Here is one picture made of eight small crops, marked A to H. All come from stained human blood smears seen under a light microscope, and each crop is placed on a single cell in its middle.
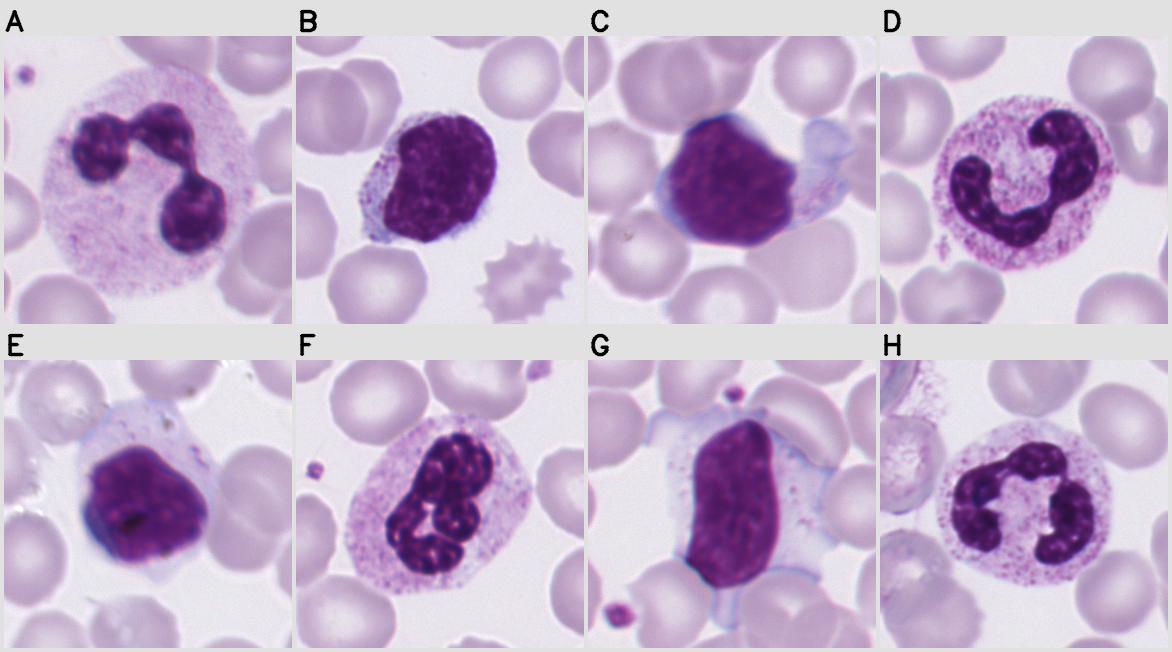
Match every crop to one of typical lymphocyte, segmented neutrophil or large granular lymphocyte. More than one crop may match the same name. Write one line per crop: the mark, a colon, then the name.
A: segmented neutrophil
B: large granular lymphocyte
C: large granular lymphocyte
D: segmented neutrophil
E: large granular lymphocyte
F: segmented neutrophil
G: large granular lymphocyte
H: segmented neutrophil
